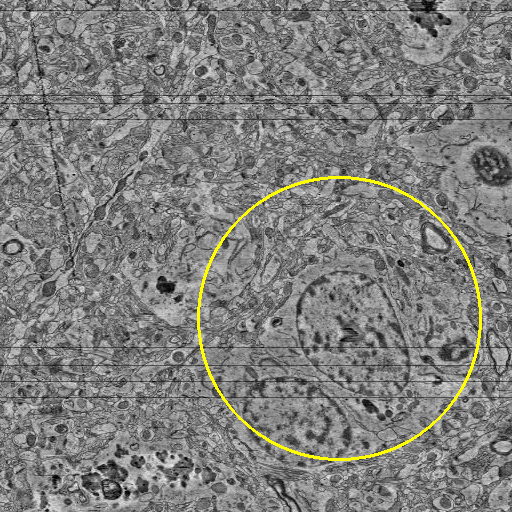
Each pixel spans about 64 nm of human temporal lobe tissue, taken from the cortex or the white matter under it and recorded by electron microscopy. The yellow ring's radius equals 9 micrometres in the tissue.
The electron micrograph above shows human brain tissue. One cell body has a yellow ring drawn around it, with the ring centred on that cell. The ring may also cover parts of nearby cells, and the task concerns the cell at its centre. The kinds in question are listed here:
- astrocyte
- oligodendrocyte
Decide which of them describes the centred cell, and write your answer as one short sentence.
The centred cell is an astrocyte.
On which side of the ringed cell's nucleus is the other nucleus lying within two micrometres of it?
The second nucleus is to the lower left of it.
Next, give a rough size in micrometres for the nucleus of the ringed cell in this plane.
Roughly 9 by 6 micrometres in this plane, for the nucleus of the ringed cell.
